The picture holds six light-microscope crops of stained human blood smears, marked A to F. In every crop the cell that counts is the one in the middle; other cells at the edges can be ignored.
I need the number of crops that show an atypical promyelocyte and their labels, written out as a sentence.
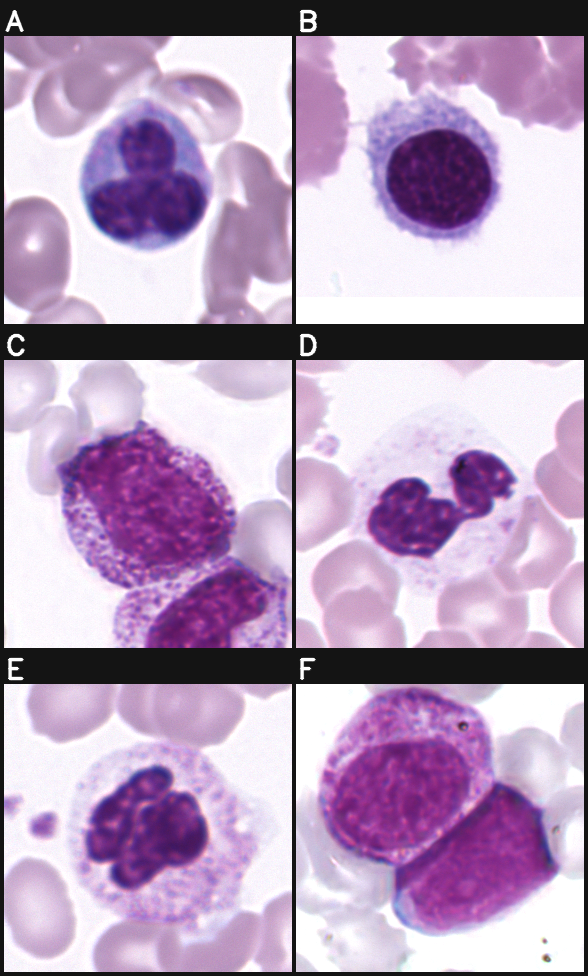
Among the crops there are no atypical promyelocytes, so the count is zero.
